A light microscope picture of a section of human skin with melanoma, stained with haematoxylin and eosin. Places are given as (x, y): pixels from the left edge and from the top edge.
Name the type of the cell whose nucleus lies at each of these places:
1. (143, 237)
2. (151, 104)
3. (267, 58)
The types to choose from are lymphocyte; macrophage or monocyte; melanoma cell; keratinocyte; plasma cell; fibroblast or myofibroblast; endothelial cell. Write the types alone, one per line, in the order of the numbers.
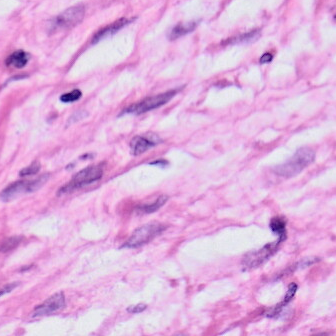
fibroblast or myofibroblast
fibroblast or myofibroblast
macrophage or monocyte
